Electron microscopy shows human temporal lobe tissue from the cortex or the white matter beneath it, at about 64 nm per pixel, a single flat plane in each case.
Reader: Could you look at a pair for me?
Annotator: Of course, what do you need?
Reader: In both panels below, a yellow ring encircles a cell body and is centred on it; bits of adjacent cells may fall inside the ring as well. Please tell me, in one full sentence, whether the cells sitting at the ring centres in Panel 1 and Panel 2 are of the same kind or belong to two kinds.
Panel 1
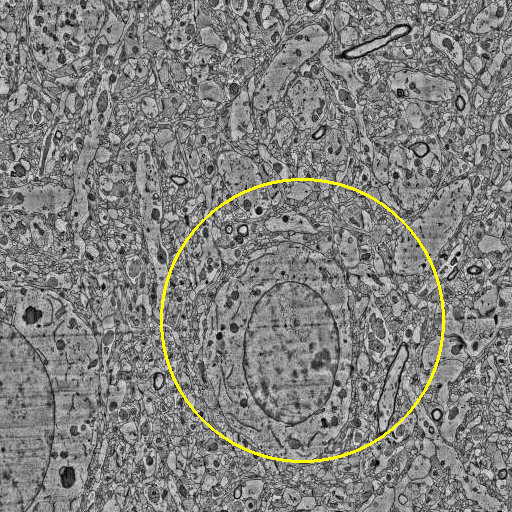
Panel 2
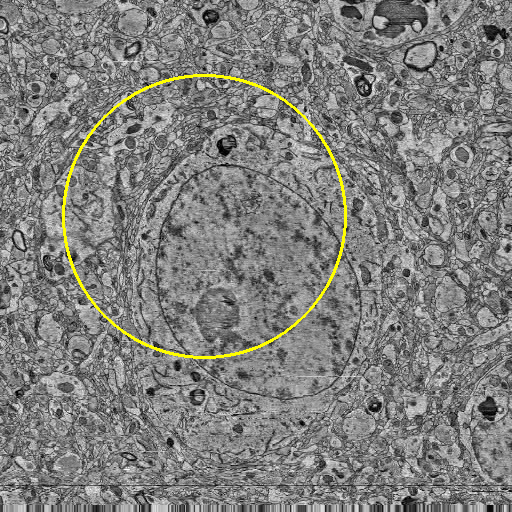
The cell at the ring's centre in Panel 1 and the one in Panel 2 are of the same kind.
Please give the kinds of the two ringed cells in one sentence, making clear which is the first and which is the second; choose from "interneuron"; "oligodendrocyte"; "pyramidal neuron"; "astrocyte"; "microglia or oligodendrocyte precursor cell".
In each picture the ringed cell is a pyramidal neuron.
